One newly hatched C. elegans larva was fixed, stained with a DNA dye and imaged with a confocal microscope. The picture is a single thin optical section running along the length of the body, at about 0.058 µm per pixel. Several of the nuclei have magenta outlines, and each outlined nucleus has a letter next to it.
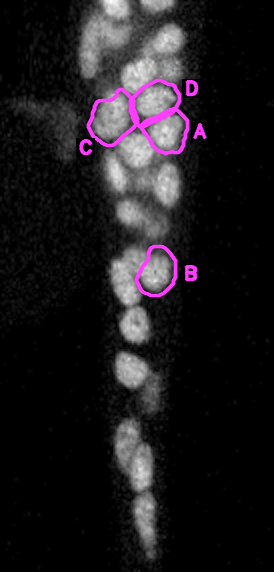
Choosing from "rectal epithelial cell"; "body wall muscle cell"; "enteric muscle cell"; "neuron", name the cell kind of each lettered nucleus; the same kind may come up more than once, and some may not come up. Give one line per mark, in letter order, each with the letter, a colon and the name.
A: enteric muscle cell
B: neuron
C: rectal epithelial cell
D: neuron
